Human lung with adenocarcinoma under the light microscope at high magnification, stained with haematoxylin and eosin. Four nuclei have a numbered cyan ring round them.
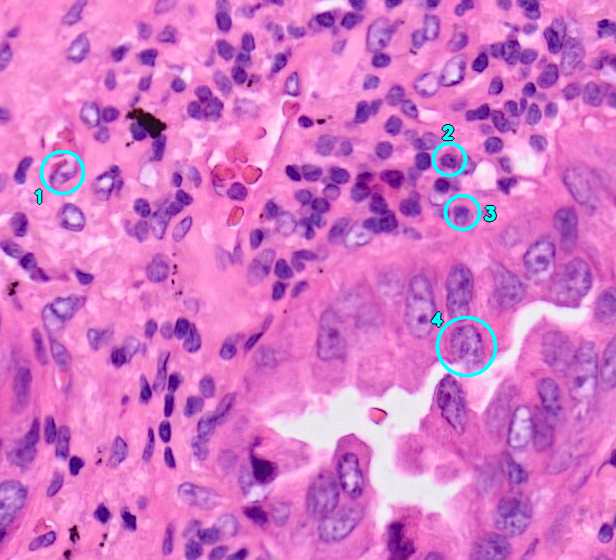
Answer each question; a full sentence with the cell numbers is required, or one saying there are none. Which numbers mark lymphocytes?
The cells labelled 2 and 3 in this section are lymphocytes.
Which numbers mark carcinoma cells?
Cell 4 is the only numbered cell that is a carcinoma cell.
